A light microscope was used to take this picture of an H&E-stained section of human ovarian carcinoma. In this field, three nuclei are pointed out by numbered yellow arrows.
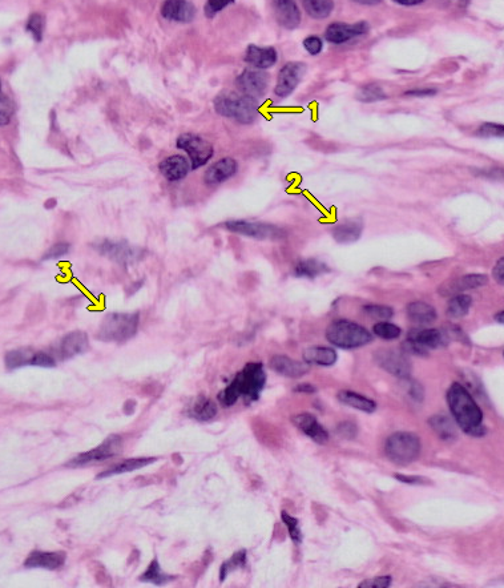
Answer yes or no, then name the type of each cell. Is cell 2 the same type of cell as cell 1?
No, cell 2 is a fibroblast and cell 1 is a carcinoma cell.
